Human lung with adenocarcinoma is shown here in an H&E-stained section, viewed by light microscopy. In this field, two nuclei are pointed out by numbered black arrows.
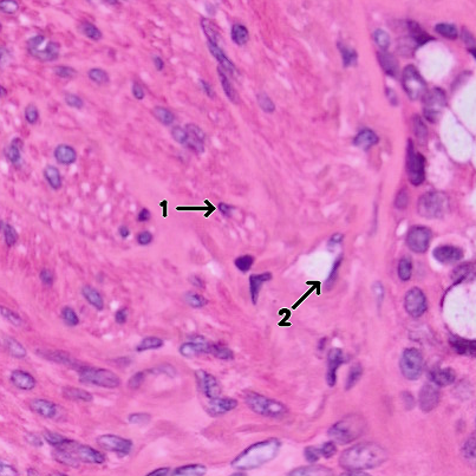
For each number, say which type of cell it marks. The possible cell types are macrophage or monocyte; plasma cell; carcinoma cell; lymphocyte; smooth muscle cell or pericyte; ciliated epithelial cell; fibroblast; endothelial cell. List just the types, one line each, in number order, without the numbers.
smooth muscle cell or pericyte
endothelial cell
